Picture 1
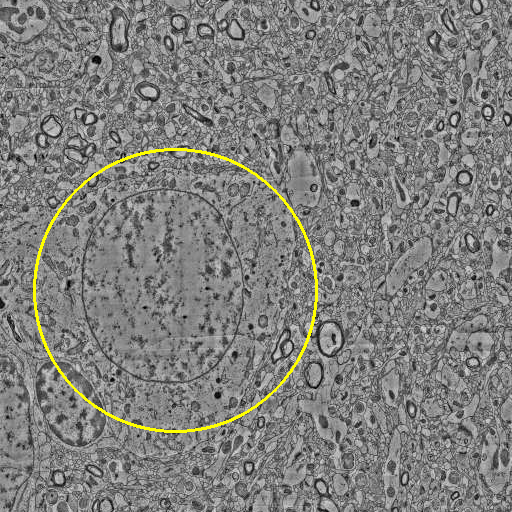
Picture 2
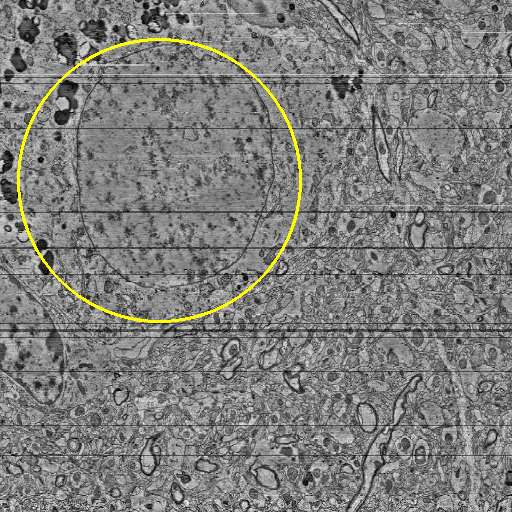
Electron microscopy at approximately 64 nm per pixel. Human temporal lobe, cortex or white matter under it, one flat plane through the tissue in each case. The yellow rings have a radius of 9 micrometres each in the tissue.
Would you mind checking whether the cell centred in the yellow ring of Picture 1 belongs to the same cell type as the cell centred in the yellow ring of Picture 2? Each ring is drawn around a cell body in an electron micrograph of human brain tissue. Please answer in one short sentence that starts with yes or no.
Yes, both cells are of the same type.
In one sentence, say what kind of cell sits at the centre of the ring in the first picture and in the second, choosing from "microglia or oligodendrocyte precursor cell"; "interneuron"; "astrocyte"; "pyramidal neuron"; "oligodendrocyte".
Each of the two rings is centred on a pyramidal neuron.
